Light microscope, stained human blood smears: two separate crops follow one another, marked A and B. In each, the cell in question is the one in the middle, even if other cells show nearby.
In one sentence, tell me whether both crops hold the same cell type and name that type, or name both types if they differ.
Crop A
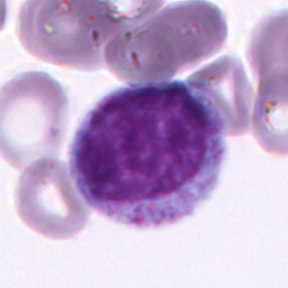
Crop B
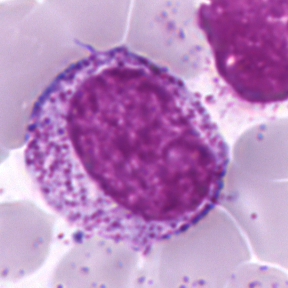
Yes, both the first crop and the second crop show myelocytes.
